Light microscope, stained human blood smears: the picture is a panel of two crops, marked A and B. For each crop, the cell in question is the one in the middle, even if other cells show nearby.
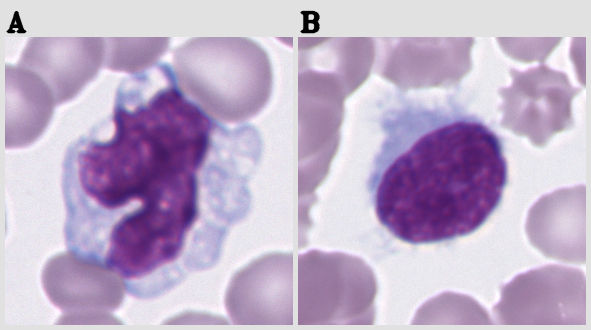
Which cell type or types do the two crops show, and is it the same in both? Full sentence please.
No, in fact crop A shows a monocyte, and crop B shows a hairy cell.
